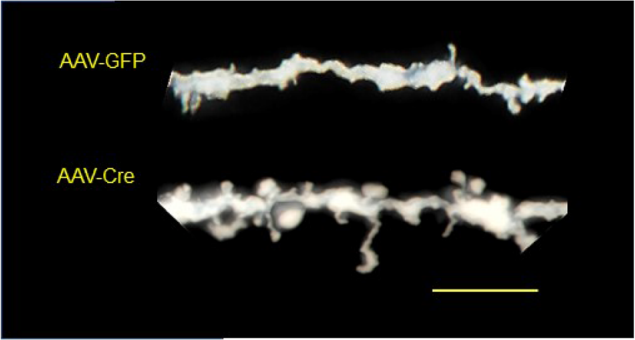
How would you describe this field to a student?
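Along each segment, small protrusions stand out from the shaft, the dendritic spines, some with rounded heads and some short and stubby. No cell bodies or nuclei are included, only the dendritic shafts and their spines.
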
